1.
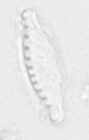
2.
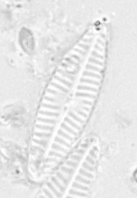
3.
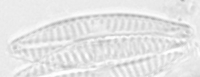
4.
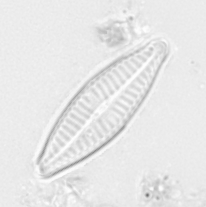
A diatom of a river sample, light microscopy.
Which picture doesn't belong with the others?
Picture 1.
